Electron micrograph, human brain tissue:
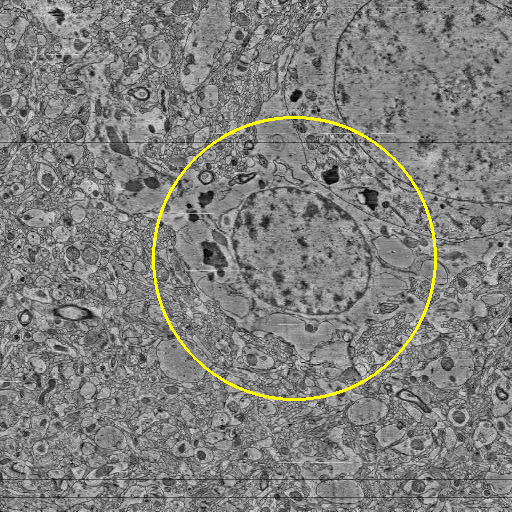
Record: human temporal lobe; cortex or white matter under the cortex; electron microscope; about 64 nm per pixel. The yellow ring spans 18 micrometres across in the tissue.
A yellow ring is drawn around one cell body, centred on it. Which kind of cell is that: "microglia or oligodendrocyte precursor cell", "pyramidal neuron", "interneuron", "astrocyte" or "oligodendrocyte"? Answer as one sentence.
It is an astrocyte at the centre of the ring.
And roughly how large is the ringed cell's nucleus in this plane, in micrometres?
About 10 by 8 micrometres in this plane.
